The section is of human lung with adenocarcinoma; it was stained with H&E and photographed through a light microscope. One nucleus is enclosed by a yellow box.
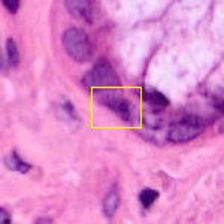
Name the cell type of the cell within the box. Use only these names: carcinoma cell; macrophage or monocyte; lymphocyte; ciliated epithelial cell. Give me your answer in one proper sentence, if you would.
Speaking plainly, the cell within the box is nothing other than a ciliated epithelial cell.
